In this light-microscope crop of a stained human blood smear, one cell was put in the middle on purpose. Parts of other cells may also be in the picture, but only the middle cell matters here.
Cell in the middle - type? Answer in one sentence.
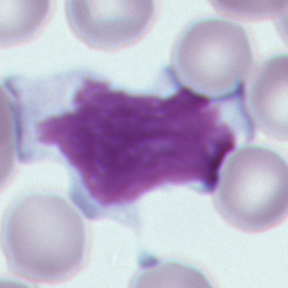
In the central position of this crop, the cell is a typical lymphocyte.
